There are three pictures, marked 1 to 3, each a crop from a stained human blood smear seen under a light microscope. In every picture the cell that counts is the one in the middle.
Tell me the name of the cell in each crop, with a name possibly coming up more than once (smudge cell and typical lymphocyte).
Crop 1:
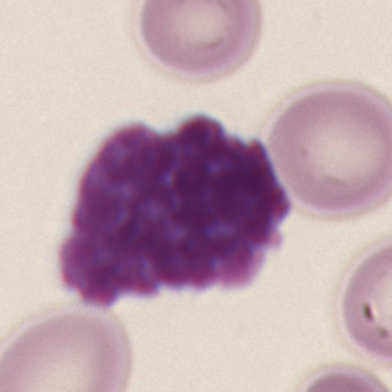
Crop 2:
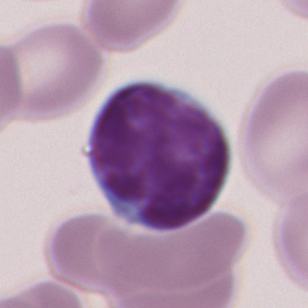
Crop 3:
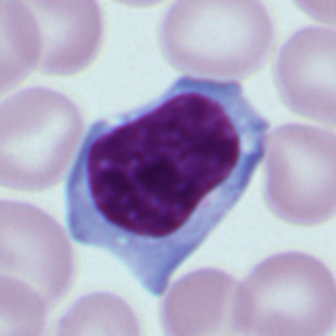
1: smudge cell
2: typical lymphocyte
3: typical lymphocyte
